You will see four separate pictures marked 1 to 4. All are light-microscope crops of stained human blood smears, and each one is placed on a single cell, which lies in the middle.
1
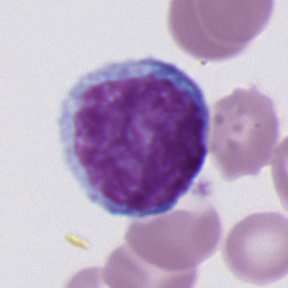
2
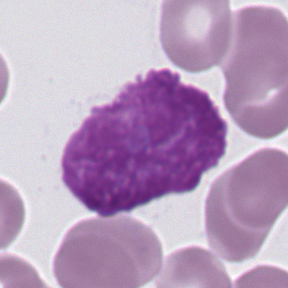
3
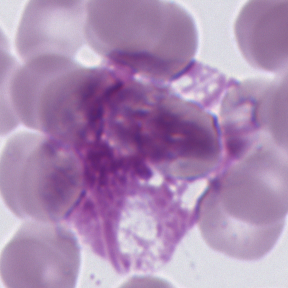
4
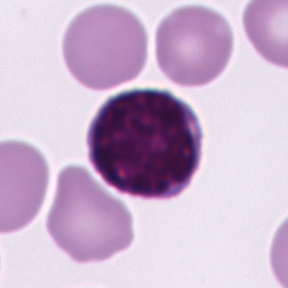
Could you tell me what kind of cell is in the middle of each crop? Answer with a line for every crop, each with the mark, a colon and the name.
1: typical lymphocyte
2: smudge cell
3: smudge cell
4: typical lymphocyte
